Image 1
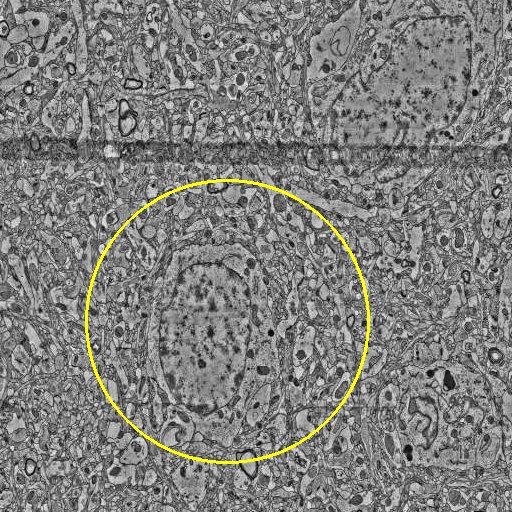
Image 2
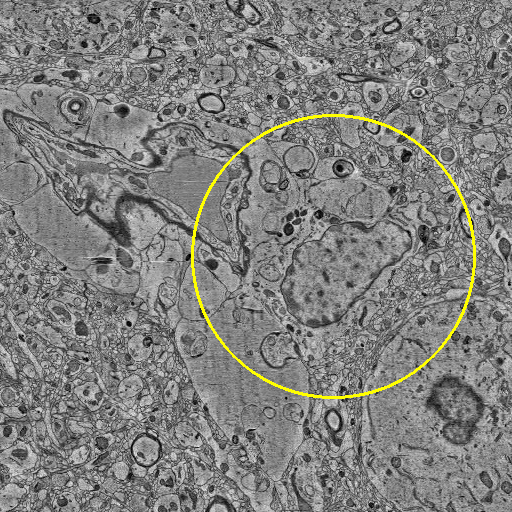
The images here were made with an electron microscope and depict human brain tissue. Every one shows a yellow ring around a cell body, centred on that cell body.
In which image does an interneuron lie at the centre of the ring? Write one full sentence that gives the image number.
My answer is image 1, where the asked-for cell sits at the centre of the ring.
